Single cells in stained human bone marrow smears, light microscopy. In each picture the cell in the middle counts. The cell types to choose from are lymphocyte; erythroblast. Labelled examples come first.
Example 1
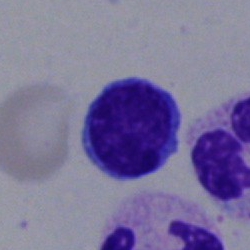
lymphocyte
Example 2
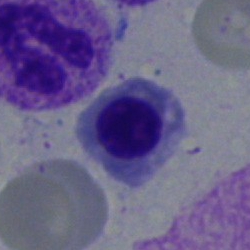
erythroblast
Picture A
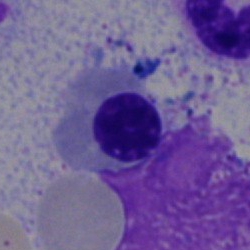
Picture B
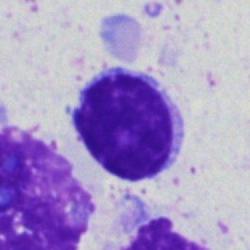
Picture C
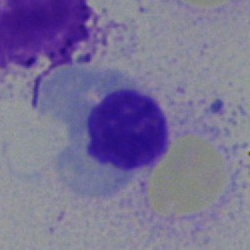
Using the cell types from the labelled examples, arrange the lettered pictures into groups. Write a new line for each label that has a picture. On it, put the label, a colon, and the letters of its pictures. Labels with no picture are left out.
lymphocyte: B
erythroblast: A, C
